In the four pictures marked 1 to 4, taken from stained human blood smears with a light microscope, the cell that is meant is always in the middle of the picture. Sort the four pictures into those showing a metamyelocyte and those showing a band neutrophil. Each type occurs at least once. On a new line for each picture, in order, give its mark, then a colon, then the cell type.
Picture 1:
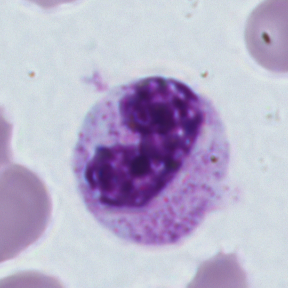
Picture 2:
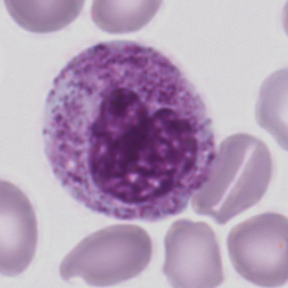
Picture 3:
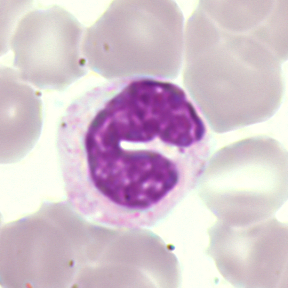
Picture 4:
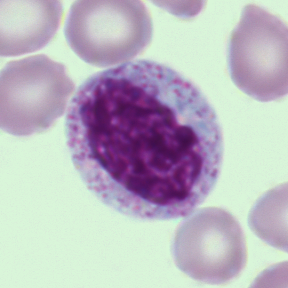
1: band neutrophil
2: band neutrophil
3: band neutrophil
4: metamyelocyte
